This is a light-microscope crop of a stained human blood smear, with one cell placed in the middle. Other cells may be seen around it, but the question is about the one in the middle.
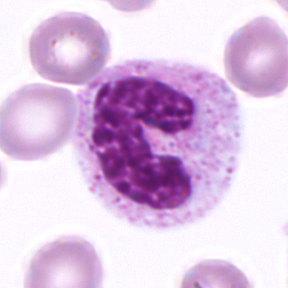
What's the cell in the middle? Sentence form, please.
The cell shown in the center of this light-microscope crop is a band neutrophil.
